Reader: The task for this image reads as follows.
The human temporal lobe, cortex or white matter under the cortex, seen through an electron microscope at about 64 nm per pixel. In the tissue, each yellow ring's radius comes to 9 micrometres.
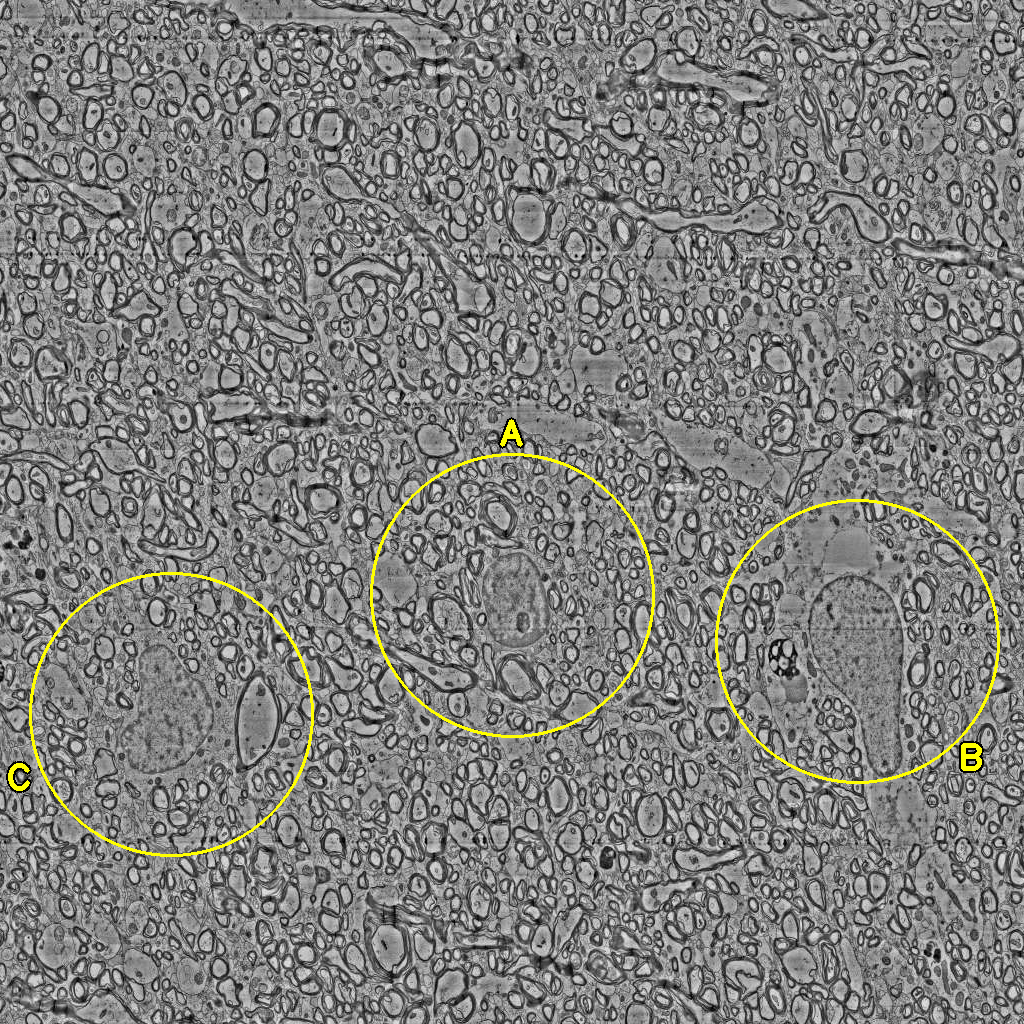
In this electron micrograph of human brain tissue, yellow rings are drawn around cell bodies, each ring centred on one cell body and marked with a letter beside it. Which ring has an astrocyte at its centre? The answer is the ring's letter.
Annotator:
B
